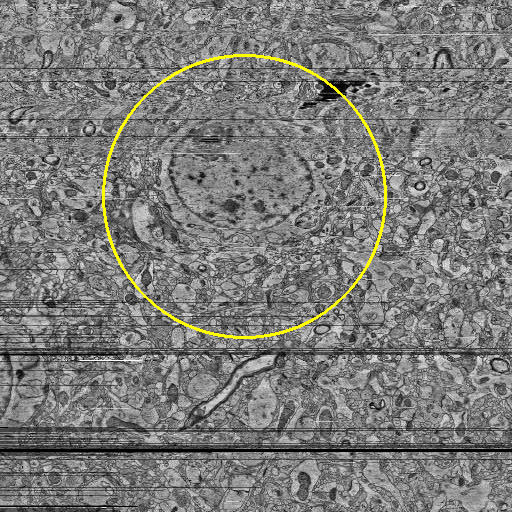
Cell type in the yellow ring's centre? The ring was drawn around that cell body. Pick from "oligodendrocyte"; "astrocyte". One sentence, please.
The ringed cell body is that of an astrocyte.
